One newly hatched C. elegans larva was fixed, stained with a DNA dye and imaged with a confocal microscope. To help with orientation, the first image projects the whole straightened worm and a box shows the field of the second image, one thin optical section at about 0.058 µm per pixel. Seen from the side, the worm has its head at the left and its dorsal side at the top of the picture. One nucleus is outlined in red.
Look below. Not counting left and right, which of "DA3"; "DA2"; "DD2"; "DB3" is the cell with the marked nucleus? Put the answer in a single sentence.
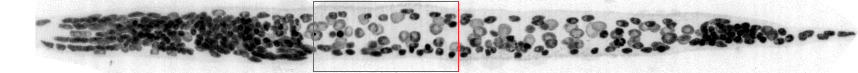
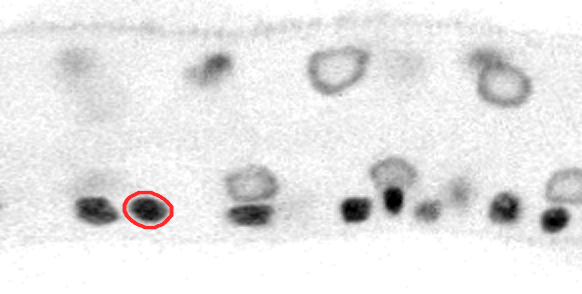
It belongs to DA2, a neuron.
